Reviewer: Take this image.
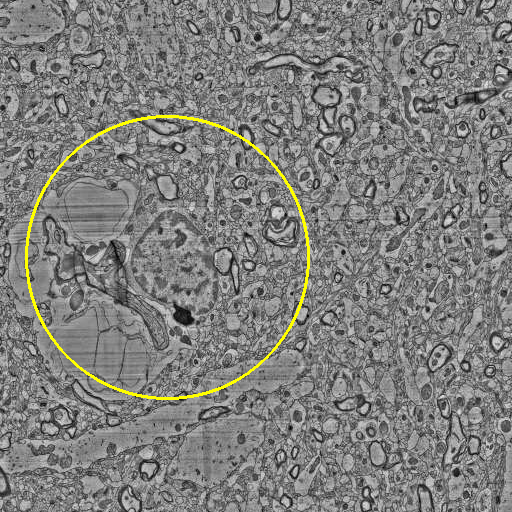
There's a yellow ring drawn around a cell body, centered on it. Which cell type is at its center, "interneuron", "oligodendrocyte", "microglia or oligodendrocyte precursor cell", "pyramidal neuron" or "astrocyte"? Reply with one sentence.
At the center of the yellow ring is an oligodendrocyte.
